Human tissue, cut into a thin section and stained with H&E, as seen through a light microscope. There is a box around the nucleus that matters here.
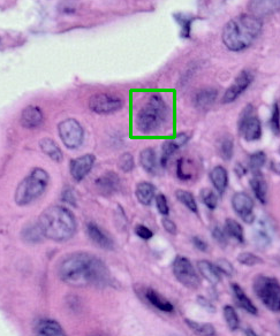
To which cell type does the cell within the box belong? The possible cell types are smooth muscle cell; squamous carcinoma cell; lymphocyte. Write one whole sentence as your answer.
Right, so the cell within the box is a squamous carcinoma cell, to answer that.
